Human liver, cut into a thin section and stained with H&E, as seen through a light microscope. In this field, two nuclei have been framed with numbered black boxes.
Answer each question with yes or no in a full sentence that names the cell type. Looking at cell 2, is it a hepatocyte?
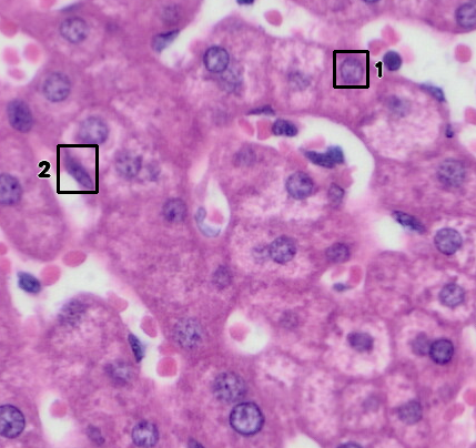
No, cell 2 is to be classed as a Kupffer cell, not a hepatocyte.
